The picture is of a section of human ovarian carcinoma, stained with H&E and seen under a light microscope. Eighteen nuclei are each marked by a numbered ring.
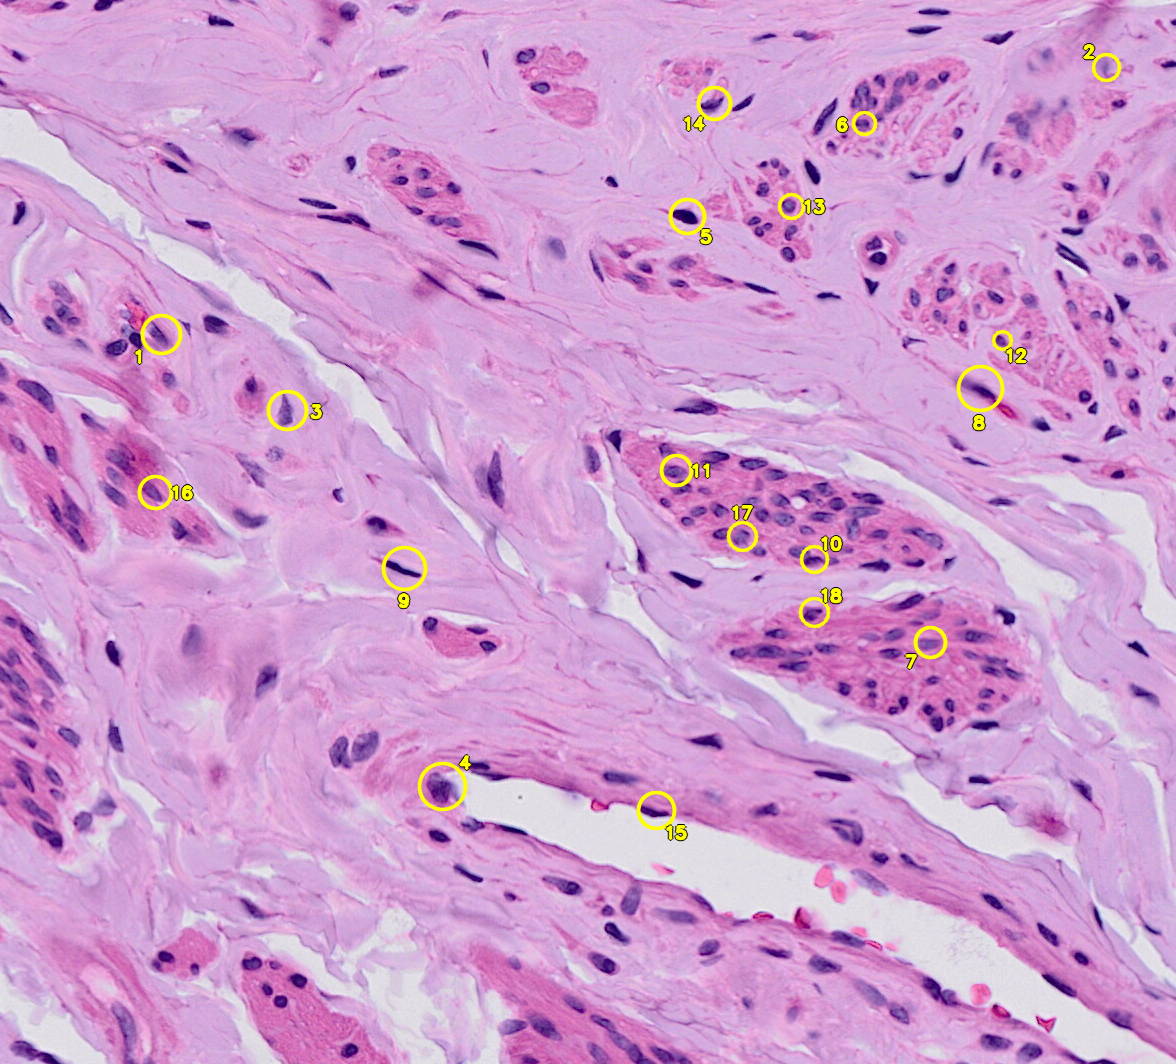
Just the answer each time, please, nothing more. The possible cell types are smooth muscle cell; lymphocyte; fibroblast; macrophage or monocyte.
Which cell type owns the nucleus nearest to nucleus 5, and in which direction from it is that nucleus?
a smooth muscle cell below nucleus 5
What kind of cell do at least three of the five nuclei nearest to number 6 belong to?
smooth muscle cell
